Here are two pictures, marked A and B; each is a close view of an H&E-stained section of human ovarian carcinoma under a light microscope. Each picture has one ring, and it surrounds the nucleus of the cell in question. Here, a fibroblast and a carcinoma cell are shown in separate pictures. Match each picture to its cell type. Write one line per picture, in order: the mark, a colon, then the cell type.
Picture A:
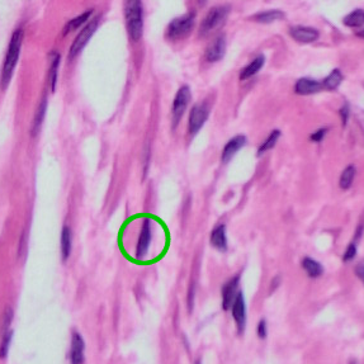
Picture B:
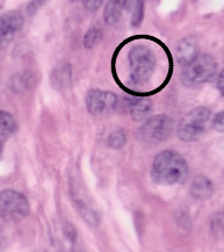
A: fibroblast
B: carcinoma cell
